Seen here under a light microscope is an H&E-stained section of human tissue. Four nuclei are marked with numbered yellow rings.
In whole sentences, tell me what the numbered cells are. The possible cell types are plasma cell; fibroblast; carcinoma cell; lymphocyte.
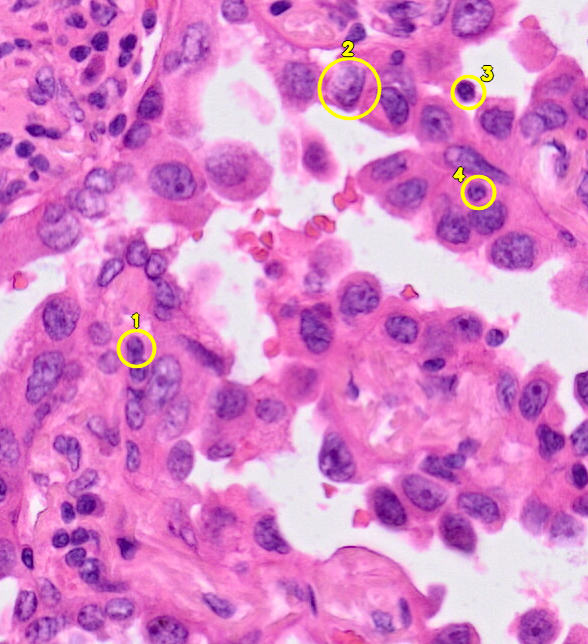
Cells 1, 3 and 4 are lymphocytes. Cell 2 is a carcinoma cell.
